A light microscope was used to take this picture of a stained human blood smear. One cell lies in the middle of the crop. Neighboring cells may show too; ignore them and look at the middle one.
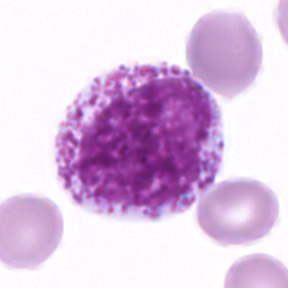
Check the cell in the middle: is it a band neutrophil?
no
